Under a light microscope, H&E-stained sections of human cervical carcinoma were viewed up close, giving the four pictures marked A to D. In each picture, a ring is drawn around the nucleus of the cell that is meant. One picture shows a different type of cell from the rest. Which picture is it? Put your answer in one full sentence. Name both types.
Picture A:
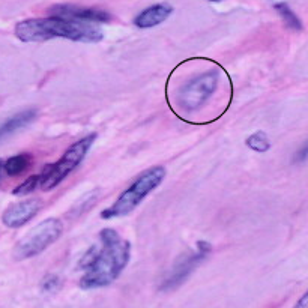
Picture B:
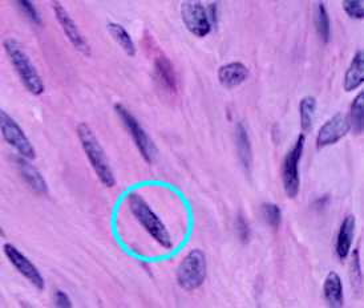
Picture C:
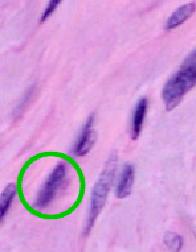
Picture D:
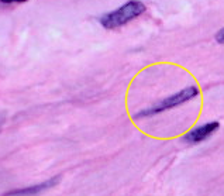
The others show fibroblasts, but picture A shows an endothelial cell.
